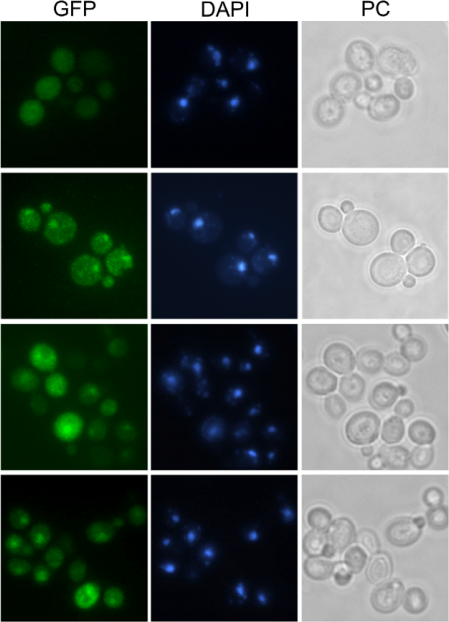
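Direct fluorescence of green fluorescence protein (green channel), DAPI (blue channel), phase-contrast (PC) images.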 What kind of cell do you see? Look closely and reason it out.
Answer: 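Small round to oval cells with smooth walls in the phase-contrast images. Some cells carry a small bud attached to a larger mother cell. On this evidence: yeast cells.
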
